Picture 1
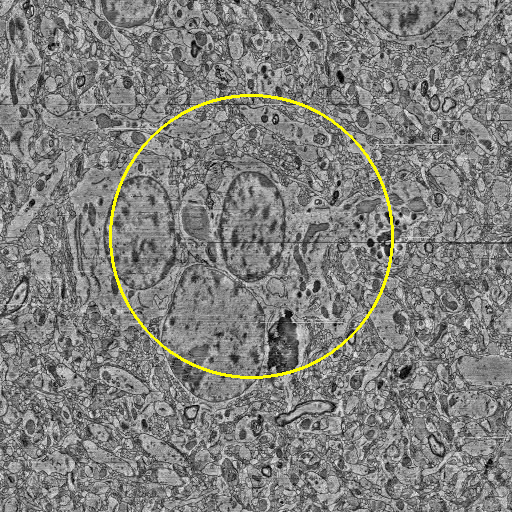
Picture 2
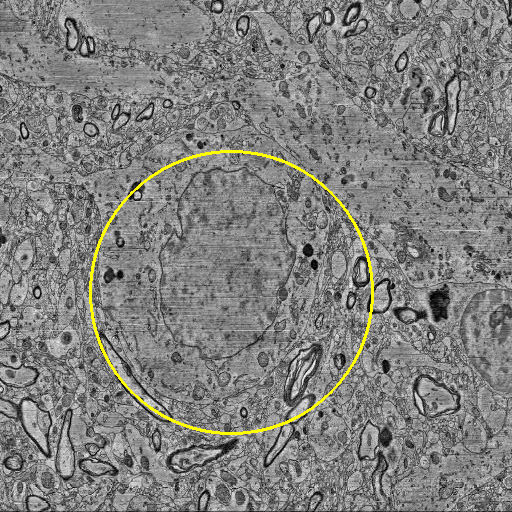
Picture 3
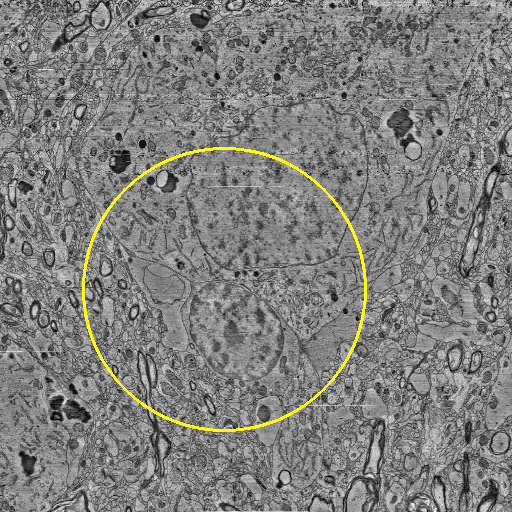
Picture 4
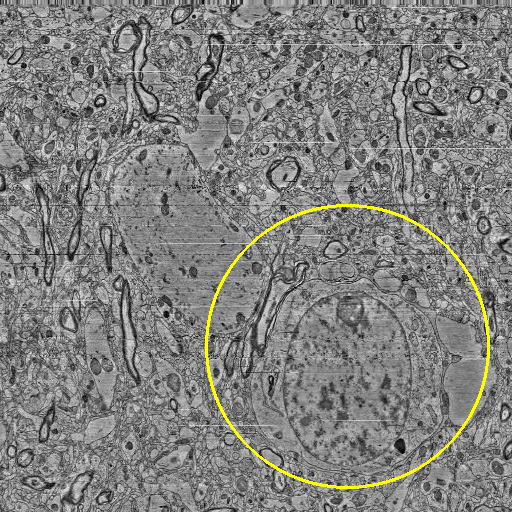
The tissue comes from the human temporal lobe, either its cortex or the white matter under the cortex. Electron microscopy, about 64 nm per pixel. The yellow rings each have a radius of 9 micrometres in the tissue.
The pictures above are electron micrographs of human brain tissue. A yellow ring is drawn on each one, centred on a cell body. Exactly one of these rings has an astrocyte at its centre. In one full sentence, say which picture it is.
Picture 1 has it at the centre of its ring.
